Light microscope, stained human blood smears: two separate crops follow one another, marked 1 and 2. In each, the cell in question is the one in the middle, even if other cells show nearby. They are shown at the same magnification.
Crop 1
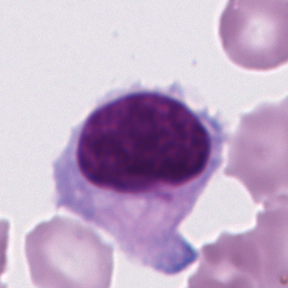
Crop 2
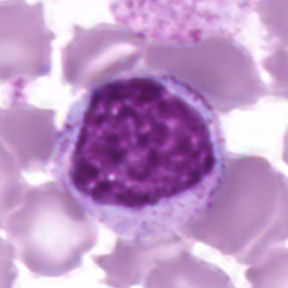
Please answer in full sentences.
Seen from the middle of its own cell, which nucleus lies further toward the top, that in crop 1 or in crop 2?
The nucleus in crop 1 lies further toward the top of its cell.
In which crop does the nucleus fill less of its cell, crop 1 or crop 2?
The nucleus fills less of the cell in crop 1 than in crop 2.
